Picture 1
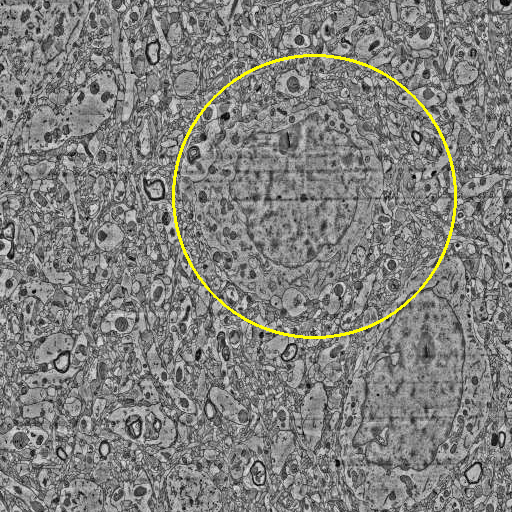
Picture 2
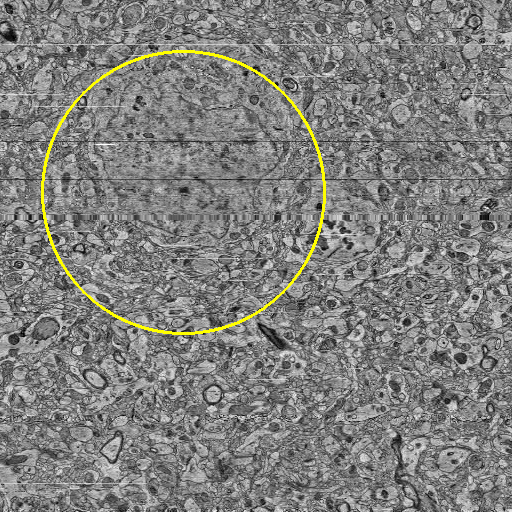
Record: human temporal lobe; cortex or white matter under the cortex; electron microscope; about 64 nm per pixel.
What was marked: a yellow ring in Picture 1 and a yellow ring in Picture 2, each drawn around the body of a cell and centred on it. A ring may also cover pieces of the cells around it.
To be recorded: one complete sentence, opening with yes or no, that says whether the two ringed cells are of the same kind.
Yes, the two ringed cells are of the same kind.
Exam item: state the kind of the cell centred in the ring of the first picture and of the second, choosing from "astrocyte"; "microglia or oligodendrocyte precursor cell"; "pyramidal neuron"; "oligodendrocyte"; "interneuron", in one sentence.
The ring centre holds an interneuron in each of the two pictures.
